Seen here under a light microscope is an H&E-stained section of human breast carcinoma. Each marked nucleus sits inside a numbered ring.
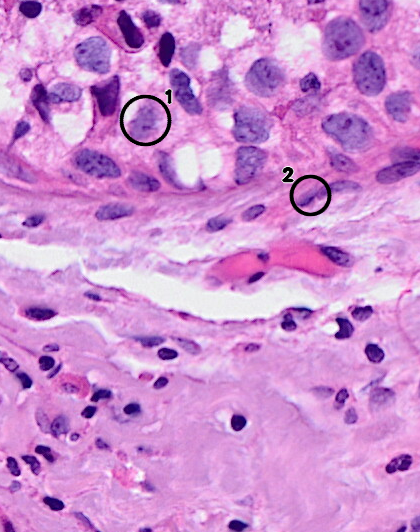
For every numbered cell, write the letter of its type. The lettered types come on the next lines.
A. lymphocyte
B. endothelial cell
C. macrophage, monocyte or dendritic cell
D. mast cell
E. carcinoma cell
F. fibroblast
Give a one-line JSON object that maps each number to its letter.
{"1": "E", "2": "B"}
